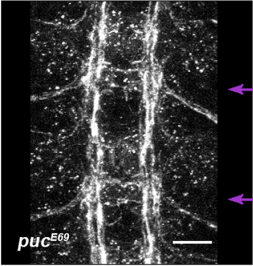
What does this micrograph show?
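This is again the embryonic ventral nerve cord with its longitudinal connectives running top to bottom on either side of the midline. Here the tracts look frayed and uneven, with strands splaying apart and thickened knots along their length instead of smooth parallel bundles. Lateral nerves still leave the cord at intervals.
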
